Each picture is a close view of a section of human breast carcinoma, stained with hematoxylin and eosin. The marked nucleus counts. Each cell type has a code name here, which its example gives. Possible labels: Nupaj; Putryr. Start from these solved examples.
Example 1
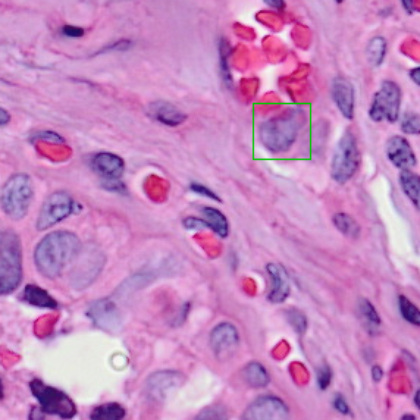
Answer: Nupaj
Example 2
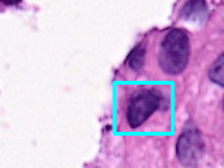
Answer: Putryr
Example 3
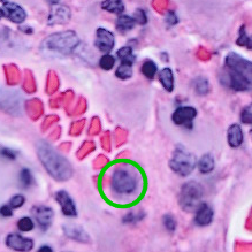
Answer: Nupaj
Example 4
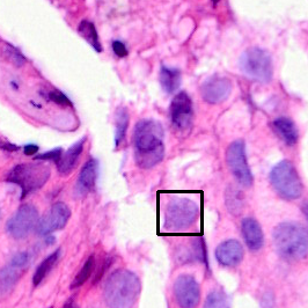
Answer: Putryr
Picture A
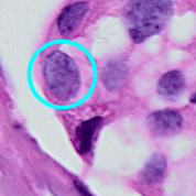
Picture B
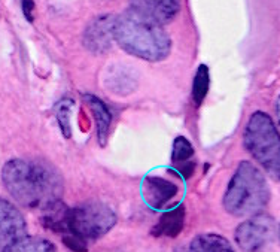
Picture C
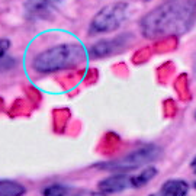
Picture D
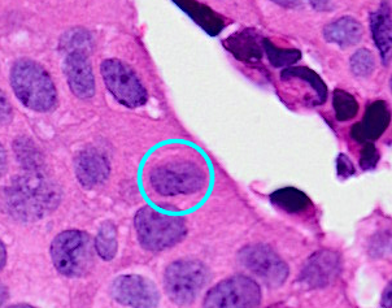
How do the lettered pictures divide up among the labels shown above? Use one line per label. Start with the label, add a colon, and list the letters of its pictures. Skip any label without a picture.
Nupaj: C
Putryr: A, B, D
